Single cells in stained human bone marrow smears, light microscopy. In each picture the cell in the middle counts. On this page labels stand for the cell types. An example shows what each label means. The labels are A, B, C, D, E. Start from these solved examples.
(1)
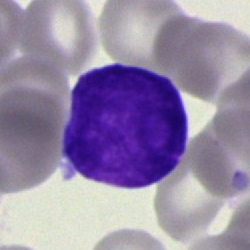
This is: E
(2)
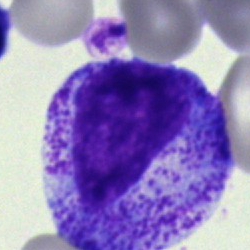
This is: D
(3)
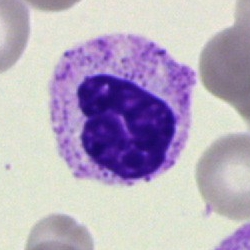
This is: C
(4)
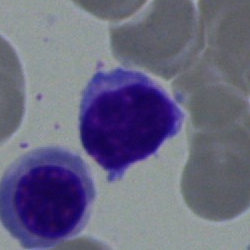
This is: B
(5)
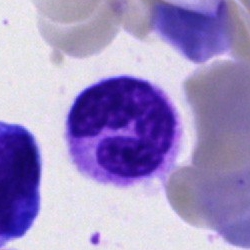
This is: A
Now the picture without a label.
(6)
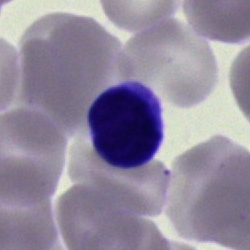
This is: B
